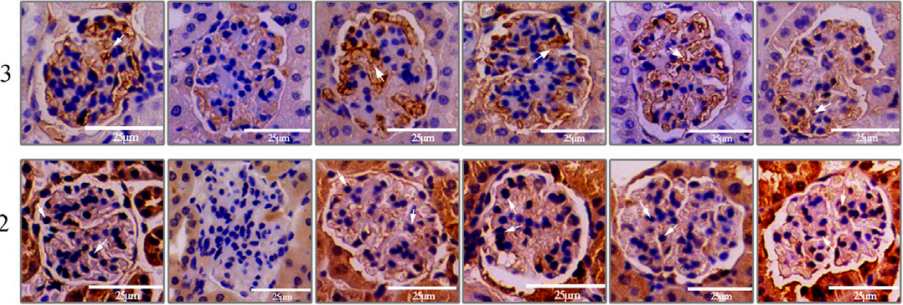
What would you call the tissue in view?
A: Glomeruli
